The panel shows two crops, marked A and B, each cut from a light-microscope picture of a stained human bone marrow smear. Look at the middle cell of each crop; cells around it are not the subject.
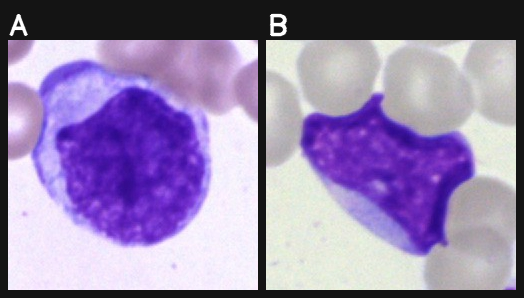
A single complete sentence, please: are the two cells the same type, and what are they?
Yes, both crops show blasts, and the two match.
